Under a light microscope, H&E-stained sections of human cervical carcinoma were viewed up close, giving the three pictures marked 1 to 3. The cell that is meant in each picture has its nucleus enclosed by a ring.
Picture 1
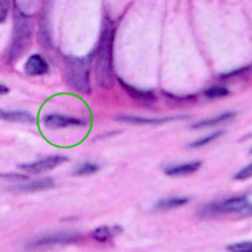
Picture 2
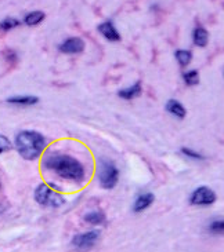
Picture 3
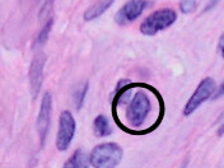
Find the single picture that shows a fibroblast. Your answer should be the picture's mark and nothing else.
1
